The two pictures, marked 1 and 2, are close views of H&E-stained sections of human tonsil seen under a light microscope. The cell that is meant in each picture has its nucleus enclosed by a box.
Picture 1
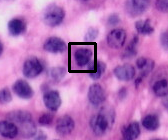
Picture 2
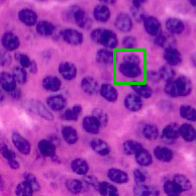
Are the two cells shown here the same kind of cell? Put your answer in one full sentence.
Yes; the cells in both pictures are plasma cells.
